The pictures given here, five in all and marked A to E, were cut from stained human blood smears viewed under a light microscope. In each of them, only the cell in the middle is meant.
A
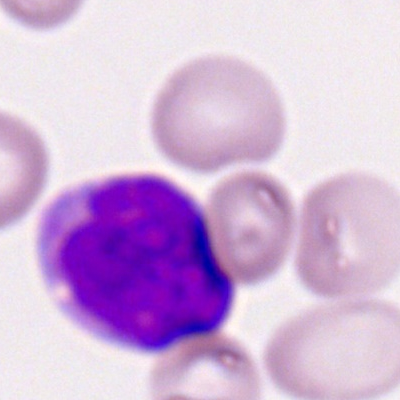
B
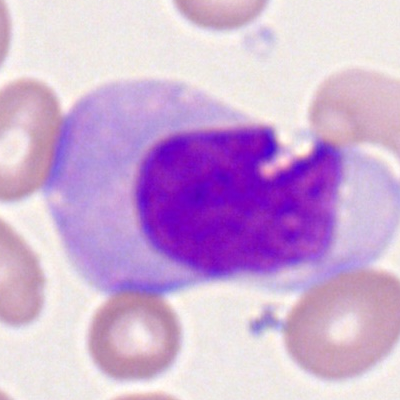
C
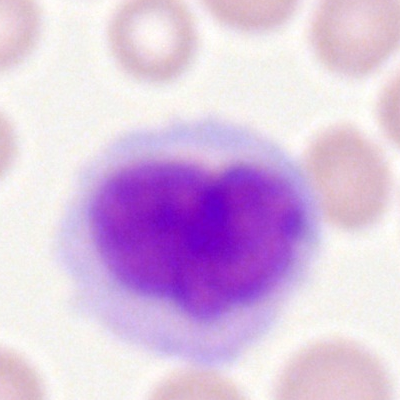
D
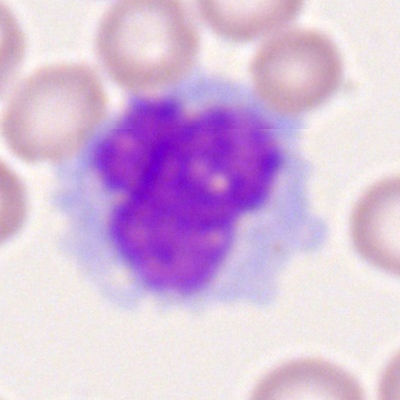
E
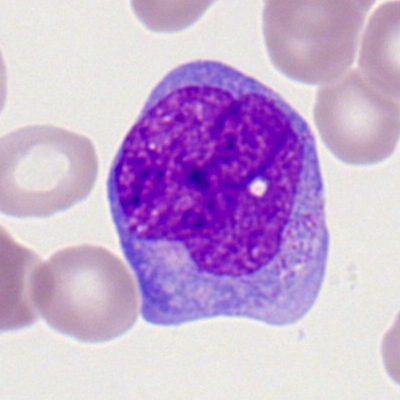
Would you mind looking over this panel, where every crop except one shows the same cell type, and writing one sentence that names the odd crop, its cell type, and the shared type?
Found in all crops but one are monocytes; the exception, crop A, contains a blast.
